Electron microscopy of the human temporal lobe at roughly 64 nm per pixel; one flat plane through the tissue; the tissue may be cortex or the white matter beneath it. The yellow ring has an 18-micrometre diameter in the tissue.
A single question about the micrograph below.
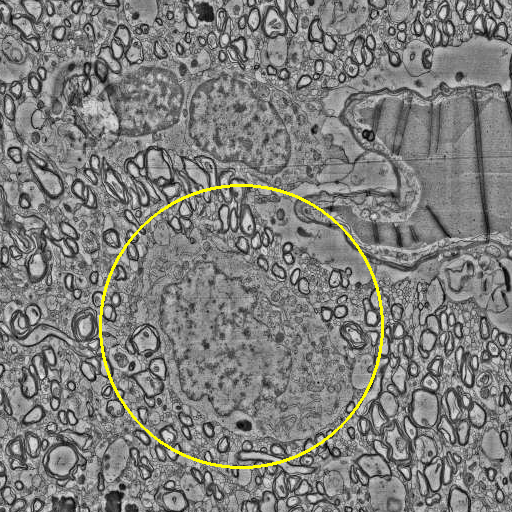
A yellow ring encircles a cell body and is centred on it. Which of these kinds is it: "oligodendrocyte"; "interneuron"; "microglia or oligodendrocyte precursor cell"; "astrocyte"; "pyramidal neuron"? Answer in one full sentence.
The cell body at the centre of the yellow ring belongs to an interneuron.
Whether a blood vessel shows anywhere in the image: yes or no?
Yes, there is one.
